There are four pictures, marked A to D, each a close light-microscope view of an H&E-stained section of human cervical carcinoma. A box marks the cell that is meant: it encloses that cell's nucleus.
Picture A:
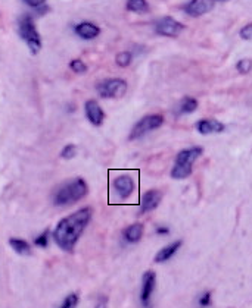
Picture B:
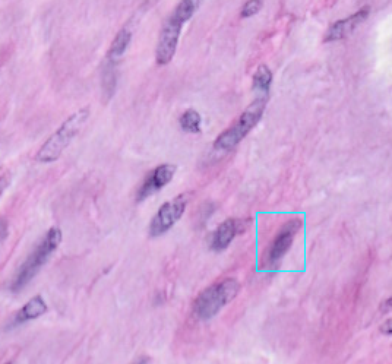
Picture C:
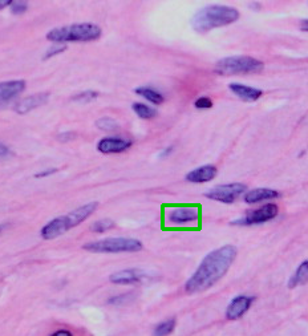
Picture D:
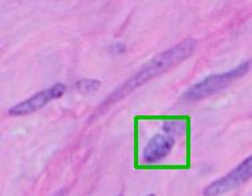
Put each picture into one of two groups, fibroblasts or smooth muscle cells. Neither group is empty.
A: smooth muscle cell
B: smooth muscle cell
C: fibroblast
D: fibroblast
